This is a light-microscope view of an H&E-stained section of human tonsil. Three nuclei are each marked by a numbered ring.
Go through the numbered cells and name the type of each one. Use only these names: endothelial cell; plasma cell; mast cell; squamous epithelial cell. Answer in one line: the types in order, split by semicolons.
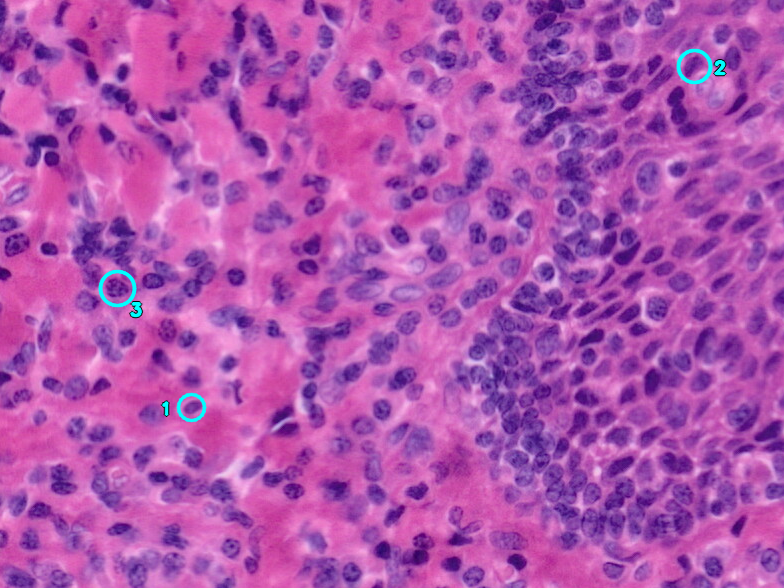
mast cell; squamous epithelial cell; plasma cell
